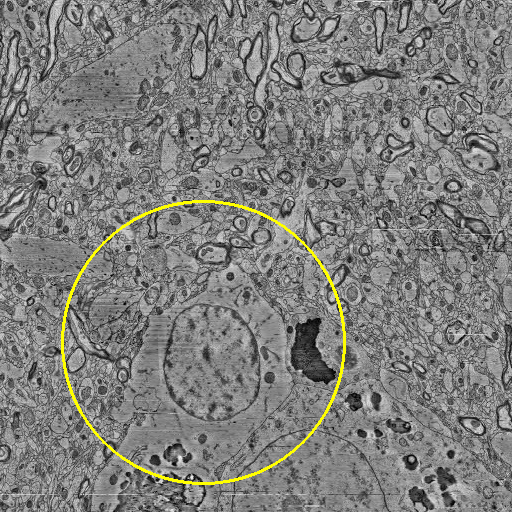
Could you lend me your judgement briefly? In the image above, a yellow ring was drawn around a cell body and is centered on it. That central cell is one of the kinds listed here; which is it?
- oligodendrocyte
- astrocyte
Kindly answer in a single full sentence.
Going by the list, an astrocyte is the kind at the ring's center in the picture.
